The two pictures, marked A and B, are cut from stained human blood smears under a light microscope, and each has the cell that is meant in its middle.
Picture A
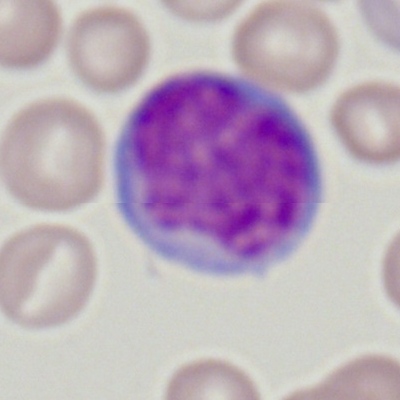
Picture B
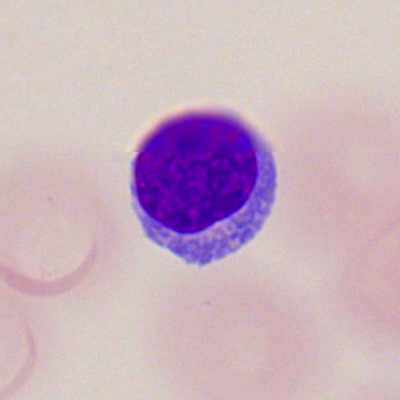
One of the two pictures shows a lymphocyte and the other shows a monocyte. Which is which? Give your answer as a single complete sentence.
It is picture A that shows a monocyte, and picture B that shows a lymphocyte.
